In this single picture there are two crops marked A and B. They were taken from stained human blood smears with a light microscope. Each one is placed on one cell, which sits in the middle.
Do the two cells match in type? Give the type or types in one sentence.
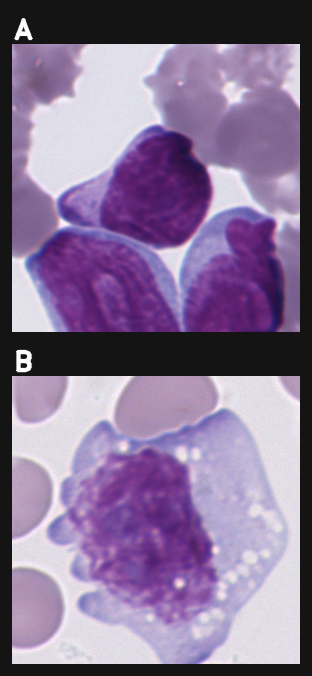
Yes, it is myeloblasts that occupy the middle of both crops.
